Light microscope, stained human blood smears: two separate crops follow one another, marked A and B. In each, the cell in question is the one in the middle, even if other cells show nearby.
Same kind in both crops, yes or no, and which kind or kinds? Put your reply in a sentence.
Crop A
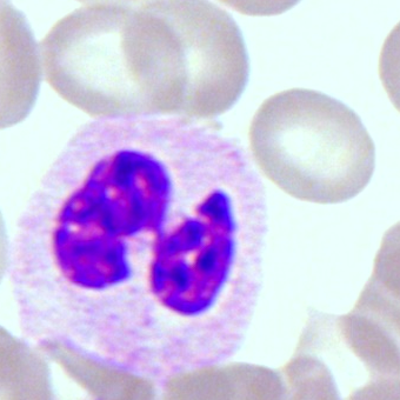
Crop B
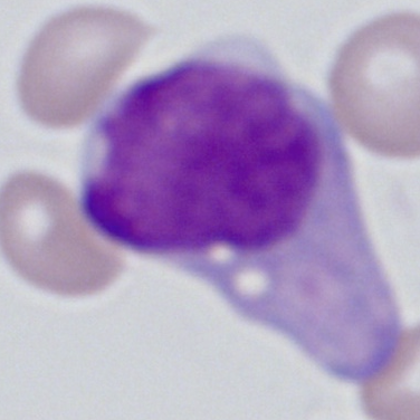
No, crop A is where a segmented neutrophil is, and crop B is where a monocyte is.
